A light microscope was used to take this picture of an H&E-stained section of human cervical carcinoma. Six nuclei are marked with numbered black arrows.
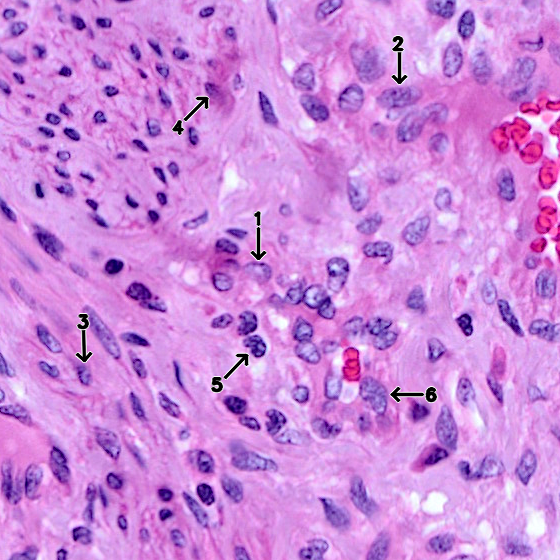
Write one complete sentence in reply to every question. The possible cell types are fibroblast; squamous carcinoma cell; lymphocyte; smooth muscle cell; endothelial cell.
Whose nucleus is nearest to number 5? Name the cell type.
The nucleus nearest to number 5 is that of a lymphocyte.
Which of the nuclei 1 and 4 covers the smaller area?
It is nucleus 4; nucleus 1 has about 2.5 times its area.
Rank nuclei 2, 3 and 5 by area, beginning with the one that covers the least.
The order from the smallest nucleus to the largest is 3, 5, 2.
